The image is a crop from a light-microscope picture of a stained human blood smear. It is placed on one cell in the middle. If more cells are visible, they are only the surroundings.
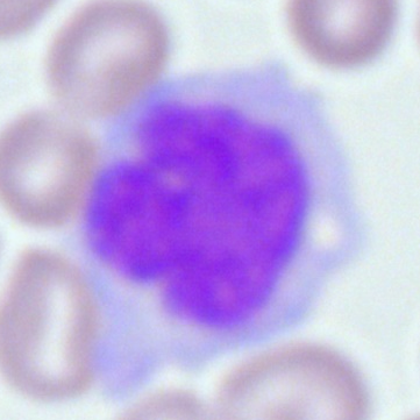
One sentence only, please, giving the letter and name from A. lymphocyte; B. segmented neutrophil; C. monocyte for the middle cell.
Option C is the right one, for the cell in the middle is a monocyte.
